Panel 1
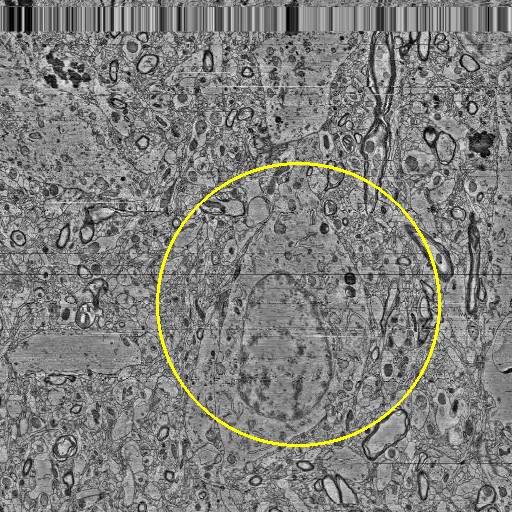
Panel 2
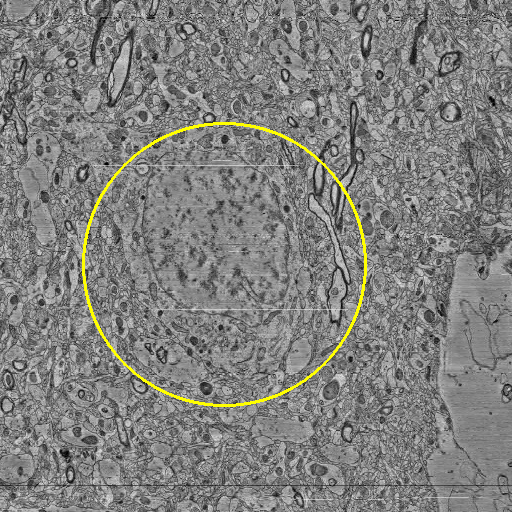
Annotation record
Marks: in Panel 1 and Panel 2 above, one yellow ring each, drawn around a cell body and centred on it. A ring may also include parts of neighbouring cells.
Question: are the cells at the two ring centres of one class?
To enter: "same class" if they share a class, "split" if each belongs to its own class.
same class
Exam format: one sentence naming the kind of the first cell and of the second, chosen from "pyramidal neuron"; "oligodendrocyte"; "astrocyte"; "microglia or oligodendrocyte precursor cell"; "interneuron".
The cell at the ring centre is an interneuron in both pictures.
